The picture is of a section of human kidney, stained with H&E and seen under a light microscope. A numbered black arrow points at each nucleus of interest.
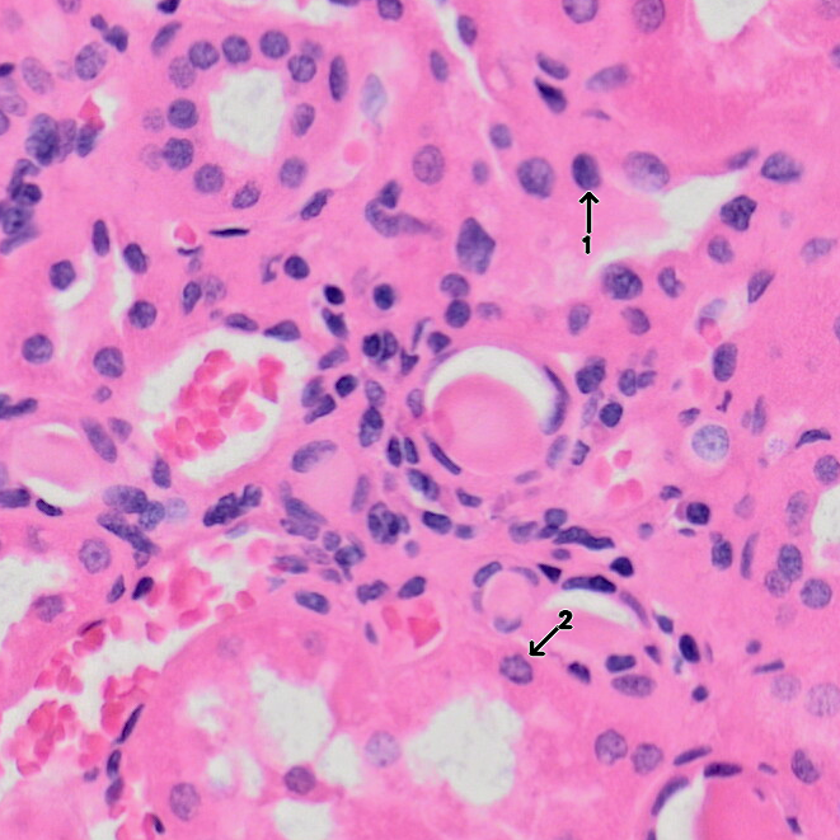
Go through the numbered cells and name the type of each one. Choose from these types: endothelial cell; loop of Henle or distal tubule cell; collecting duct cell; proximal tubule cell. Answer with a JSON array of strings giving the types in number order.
["loop of Henle or distal tubule cell", "proximal tubule cell"]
